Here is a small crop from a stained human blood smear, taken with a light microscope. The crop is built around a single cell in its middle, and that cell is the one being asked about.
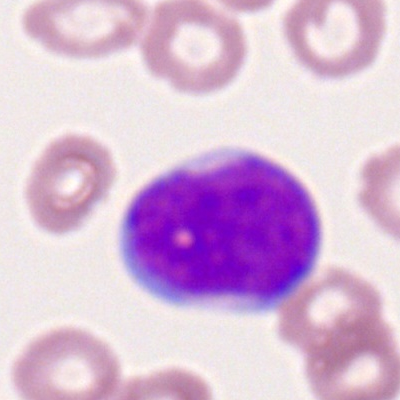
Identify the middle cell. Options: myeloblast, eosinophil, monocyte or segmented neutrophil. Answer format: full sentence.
The single cell at the center of the crop is a myeloblast.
